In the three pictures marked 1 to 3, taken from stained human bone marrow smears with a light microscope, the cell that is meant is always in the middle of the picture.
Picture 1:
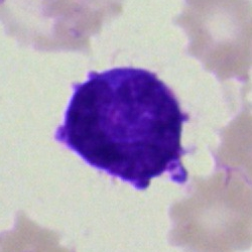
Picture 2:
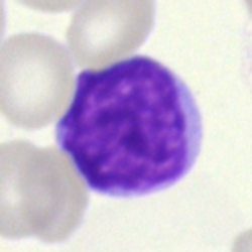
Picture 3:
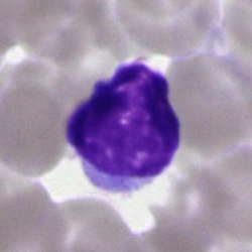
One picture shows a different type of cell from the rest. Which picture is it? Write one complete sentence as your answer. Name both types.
The different one is picture 3; it shows a lymphocyte, whereas all the others show blasts.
